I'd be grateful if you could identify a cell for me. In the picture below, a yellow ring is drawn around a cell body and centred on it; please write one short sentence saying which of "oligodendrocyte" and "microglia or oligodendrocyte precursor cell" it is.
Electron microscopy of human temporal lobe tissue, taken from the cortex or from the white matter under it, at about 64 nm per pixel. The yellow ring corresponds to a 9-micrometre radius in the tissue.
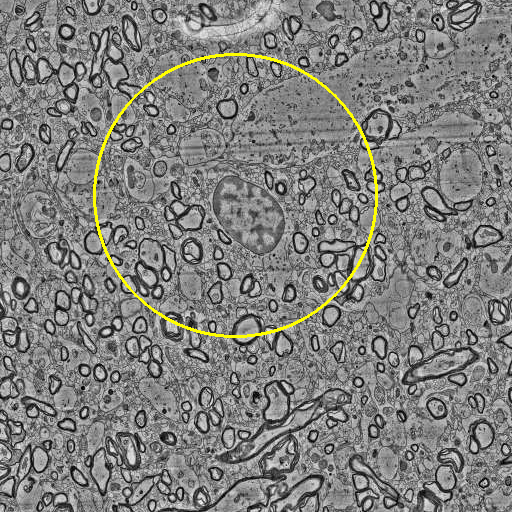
The cell under the ring's centre is a microglial cell or oligodendrocyte precursor cell.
